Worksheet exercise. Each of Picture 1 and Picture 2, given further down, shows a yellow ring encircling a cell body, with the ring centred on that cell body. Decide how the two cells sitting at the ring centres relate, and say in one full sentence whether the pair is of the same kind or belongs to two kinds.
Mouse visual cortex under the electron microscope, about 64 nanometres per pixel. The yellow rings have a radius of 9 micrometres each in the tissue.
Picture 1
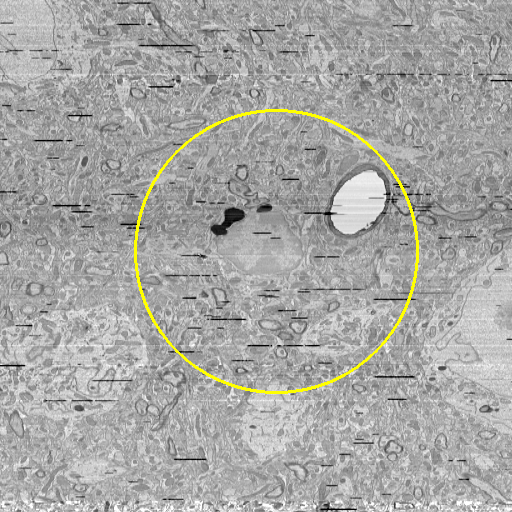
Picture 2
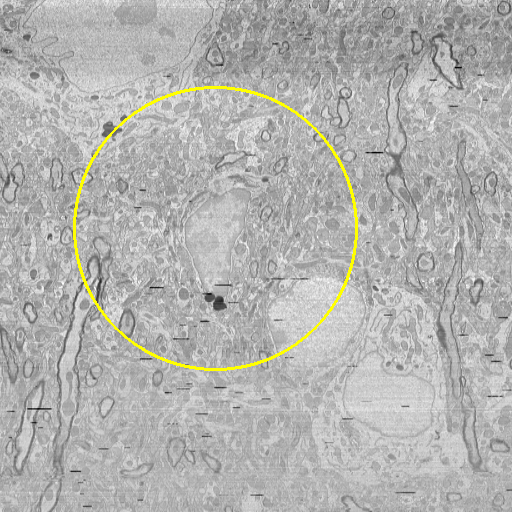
The cells at the ring centres in Picture 1 and Picture 2 are of the same kind.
